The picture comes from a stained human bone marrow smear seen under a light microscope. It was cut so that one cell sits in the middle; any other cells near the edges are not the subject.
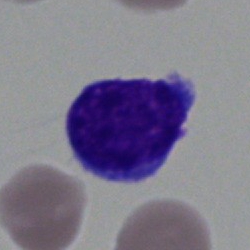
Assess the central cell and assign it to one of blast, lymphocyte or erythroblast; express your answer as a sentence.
The cell at the central position in this crop is a lymphocyte.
